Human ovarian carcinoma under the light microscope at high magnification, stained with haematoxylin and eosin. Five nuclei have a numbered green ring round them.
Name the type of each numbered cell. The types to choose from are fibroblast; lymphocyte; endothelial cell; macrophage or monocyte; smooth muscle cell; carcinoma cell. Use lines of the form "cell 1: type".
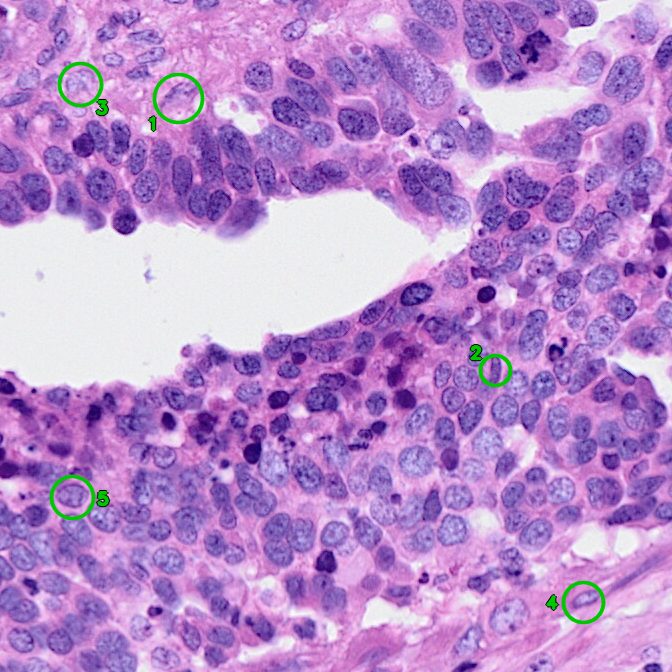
cell 1: fibroblast
cell 2: carcinoma cell
cell 3: fibroblast
cell 4: fibroblast
cell 5: carcinoma cell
